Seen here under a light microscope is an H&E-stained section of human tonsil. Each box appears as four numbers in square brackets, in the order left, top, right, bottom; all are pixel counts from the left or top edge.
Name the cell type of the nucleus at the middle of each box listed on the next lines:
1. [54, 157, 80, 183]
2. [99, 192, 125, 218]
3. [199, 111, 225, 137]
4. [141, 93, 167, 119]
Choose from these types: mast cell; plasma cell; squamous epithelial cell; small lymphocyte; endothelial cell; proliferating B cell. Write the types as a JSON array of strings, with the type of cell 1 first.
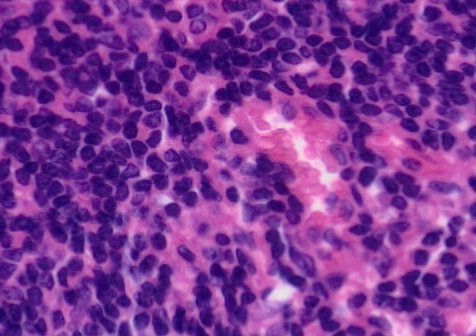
["small lymphocyte", "small lymphocyte", "endothelial cell", "small lymphocyte"]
